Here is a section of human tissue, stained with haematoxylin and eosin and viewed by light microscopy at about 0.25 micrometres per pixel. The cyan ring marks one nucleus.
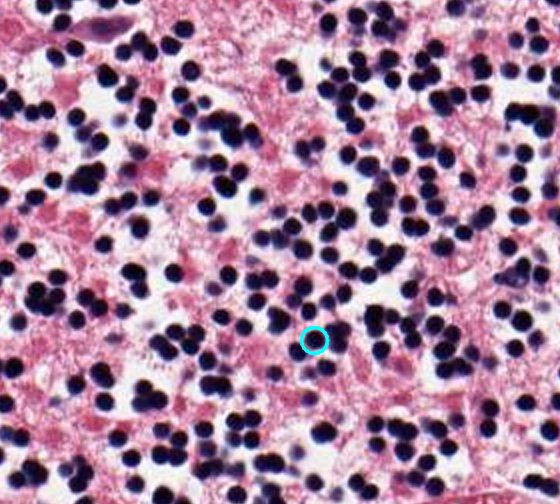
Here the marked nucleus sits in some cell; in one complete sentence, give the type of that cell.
The nucleus carrying the mark is the nucleus of a cerebellar granule cell.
